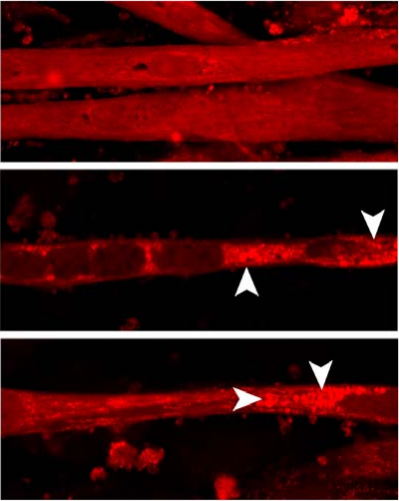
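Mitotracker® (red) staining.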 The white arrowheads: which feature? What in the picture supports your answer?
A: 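Perinuclear aggregates. The arrowheads point to bright, coarse red clumps inside the long tube-shaped cells. These clumps stand out against the fainter, more even red of the rest of the cell.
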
